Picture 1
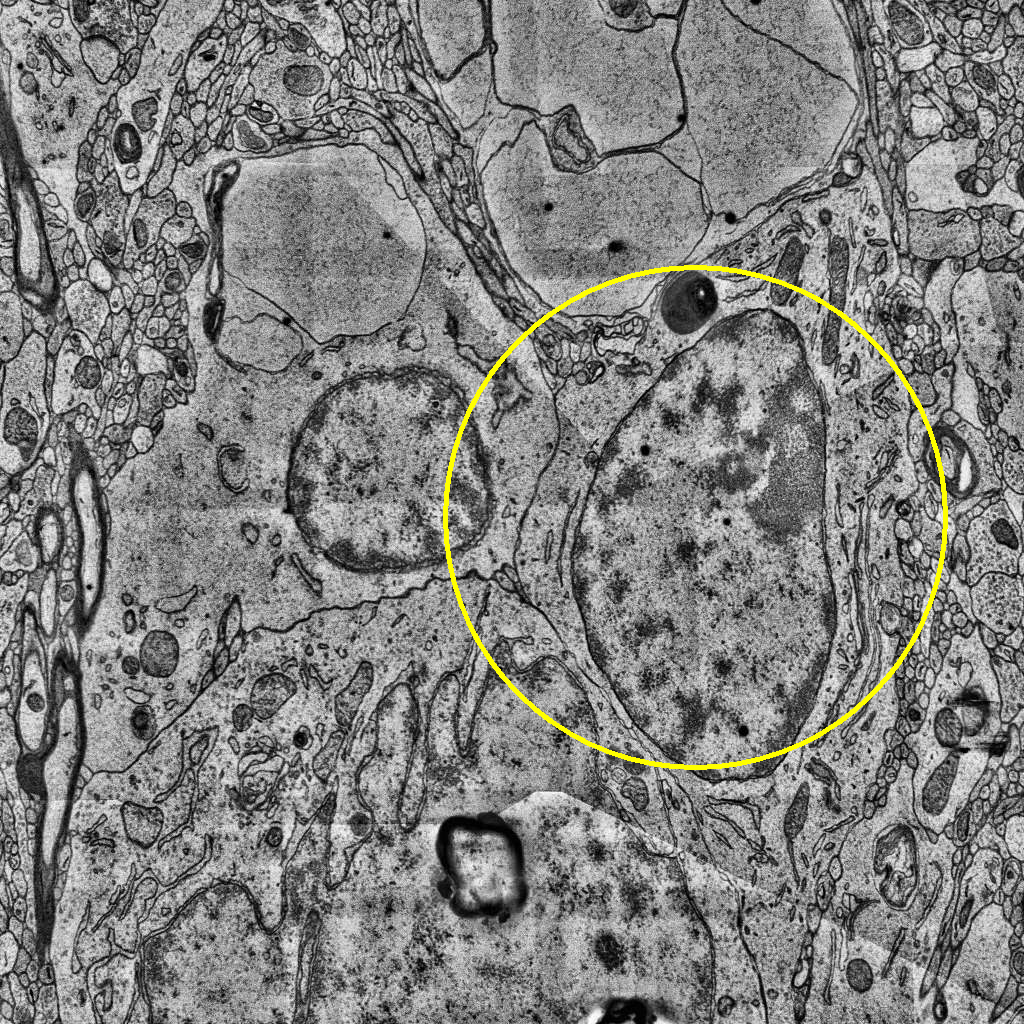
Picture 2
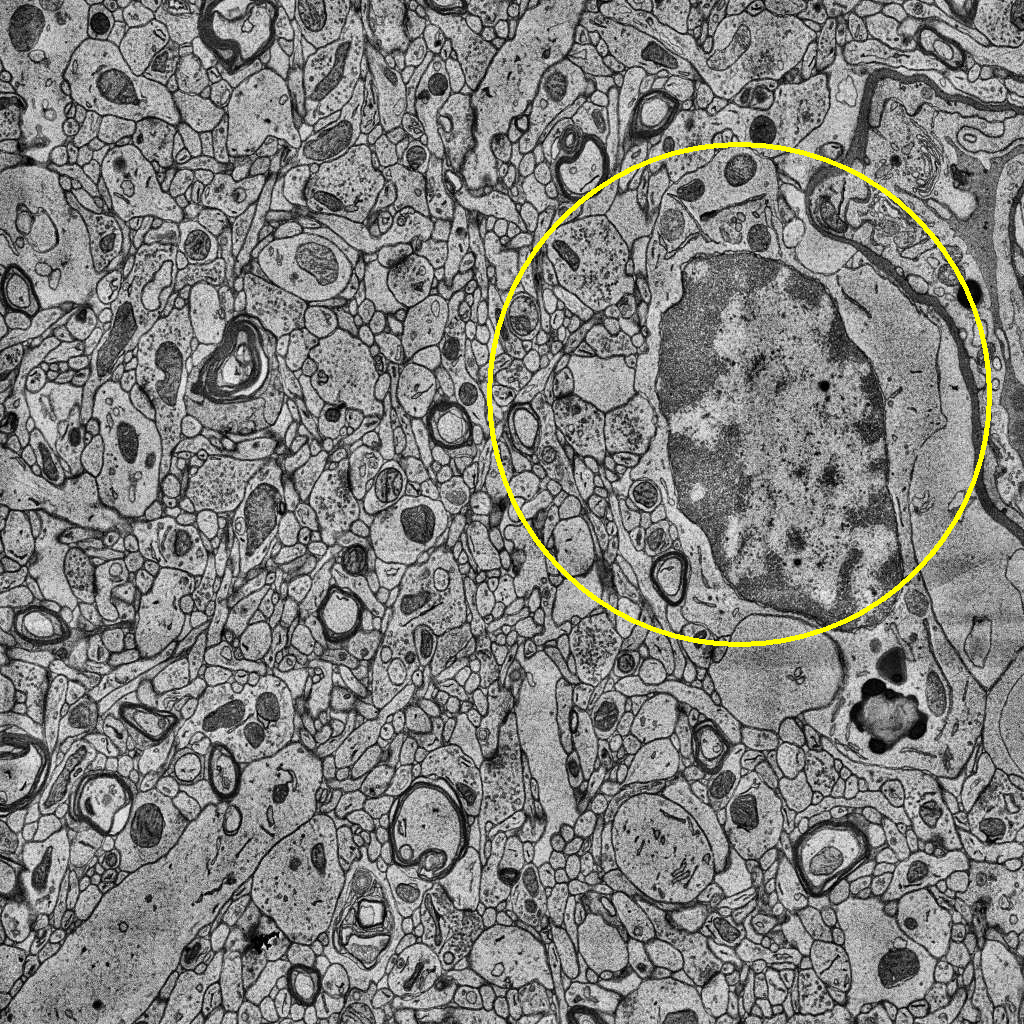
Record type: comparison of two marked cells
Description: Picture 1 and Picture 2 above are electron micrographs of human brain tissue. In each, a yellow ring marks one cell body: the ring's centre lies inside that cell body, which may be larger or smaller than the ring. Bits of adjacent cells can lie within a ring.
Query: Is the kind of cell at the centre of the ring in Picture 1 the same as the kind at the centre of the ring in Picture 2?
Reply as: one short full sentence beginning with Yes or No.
Yes, the two cells at the ring centres are of the same kind.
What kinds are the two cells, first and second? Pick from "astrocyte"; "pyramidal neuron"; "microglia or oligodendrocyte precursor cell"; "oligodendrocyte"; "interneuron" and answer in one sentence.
The first and the second cell are each a microglial cell or oligodendrocyte precursor cell.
